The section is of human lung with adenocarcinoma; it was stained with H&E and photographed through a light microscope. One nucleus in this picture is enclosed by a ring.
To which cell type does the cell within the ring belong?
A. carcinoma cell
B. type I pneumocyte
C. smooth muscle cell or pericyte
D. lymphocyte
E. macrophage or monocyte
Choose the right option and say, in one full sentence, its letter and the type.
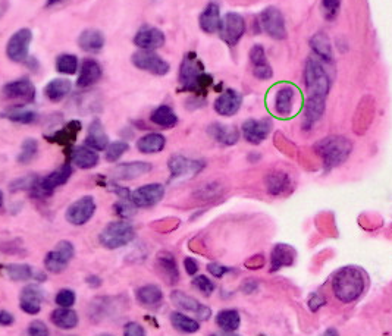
The correct response is option D: the cell within the ring is a lymphocyte.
